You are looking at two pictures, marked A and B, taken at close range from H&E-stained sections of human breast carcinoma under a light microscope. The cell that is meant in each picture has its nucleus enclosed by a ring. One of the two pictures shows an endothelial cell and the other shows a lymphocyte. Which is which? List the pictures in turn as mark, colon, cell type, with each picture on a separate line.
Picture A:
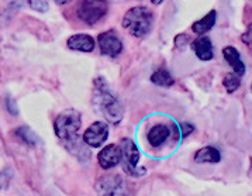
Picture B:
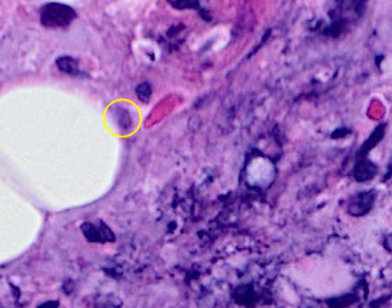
A: lymphocyte
B: endothelial cell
